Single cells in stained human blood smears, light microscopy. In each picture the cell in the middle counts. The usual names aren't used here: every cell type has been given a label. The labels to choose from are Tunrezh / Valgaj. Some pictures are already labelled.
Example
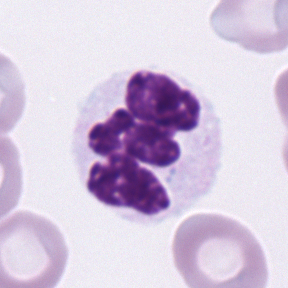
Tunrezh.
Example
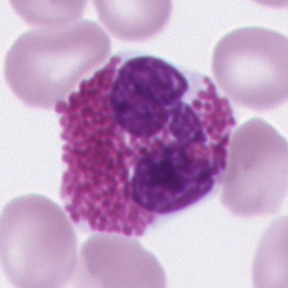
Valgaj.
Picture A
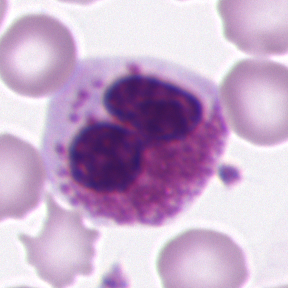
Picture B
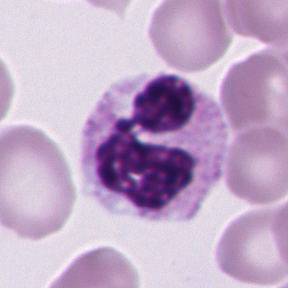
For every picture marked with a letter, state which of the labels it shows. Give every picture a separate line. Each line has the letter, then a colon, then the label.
A: Valgaj.
B: Tunrezh.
